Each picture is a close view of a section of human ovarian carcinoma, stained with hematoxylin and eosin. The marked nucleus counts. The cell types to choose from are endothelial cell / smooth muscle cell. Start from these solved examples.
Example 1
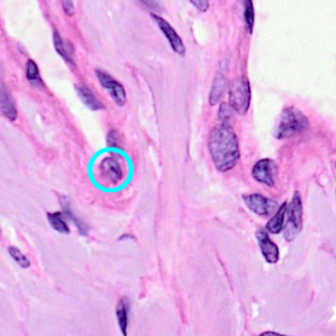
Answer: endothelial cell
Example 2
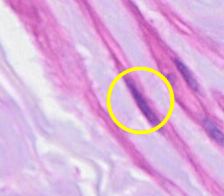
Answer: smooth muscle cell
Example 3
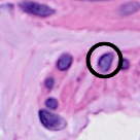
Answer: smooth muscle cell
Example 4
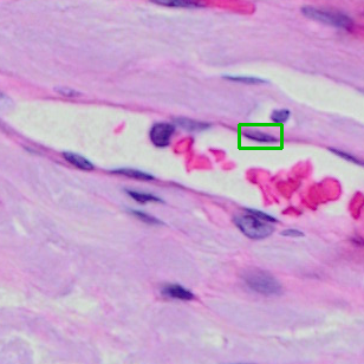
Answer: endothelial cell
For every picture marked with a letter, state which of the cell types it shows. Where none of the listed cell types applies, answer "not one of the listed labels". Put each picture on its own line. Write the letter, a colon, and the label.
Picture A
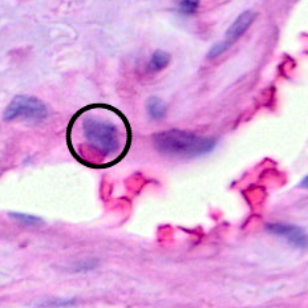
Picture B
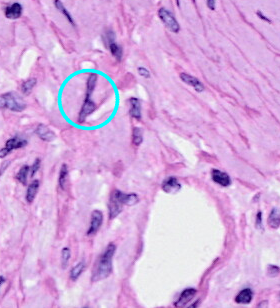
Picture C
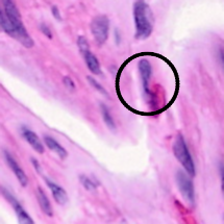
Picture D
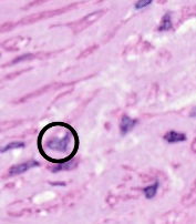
A: endothelial cell
B: not one of the listed labels
C: endothelial cell
D: not one of the listed labels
